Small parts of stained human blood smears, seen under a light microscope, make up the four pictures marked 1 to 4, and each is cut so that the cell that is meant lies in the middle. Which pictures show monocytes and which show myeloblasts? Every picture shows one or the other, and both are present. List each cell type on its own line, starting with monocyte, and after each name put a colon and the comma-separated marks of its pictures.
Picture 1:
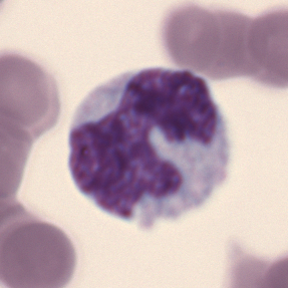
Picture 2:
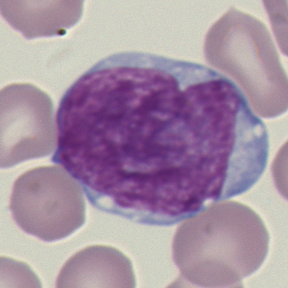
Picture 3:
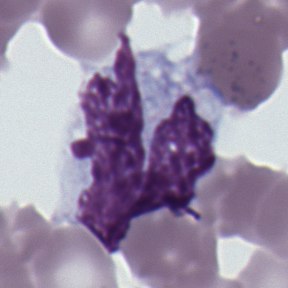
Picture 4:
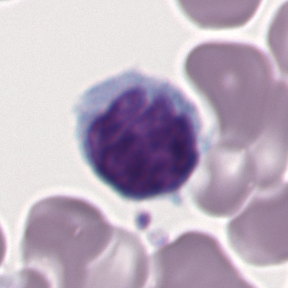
monocyte: 1, 3, 4
myeloblast: 2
